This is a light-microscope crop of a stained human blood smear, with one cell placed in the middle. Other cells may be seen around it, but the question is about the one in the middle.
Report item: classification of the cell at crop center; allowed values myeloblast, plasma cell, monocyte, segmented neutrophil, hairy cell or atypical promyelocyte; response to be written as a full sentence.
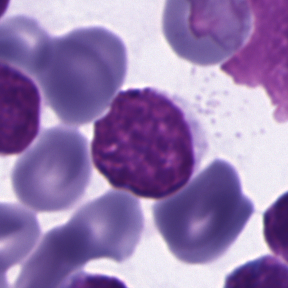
The cell that lies at the centre of the crop is a myeloblast.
